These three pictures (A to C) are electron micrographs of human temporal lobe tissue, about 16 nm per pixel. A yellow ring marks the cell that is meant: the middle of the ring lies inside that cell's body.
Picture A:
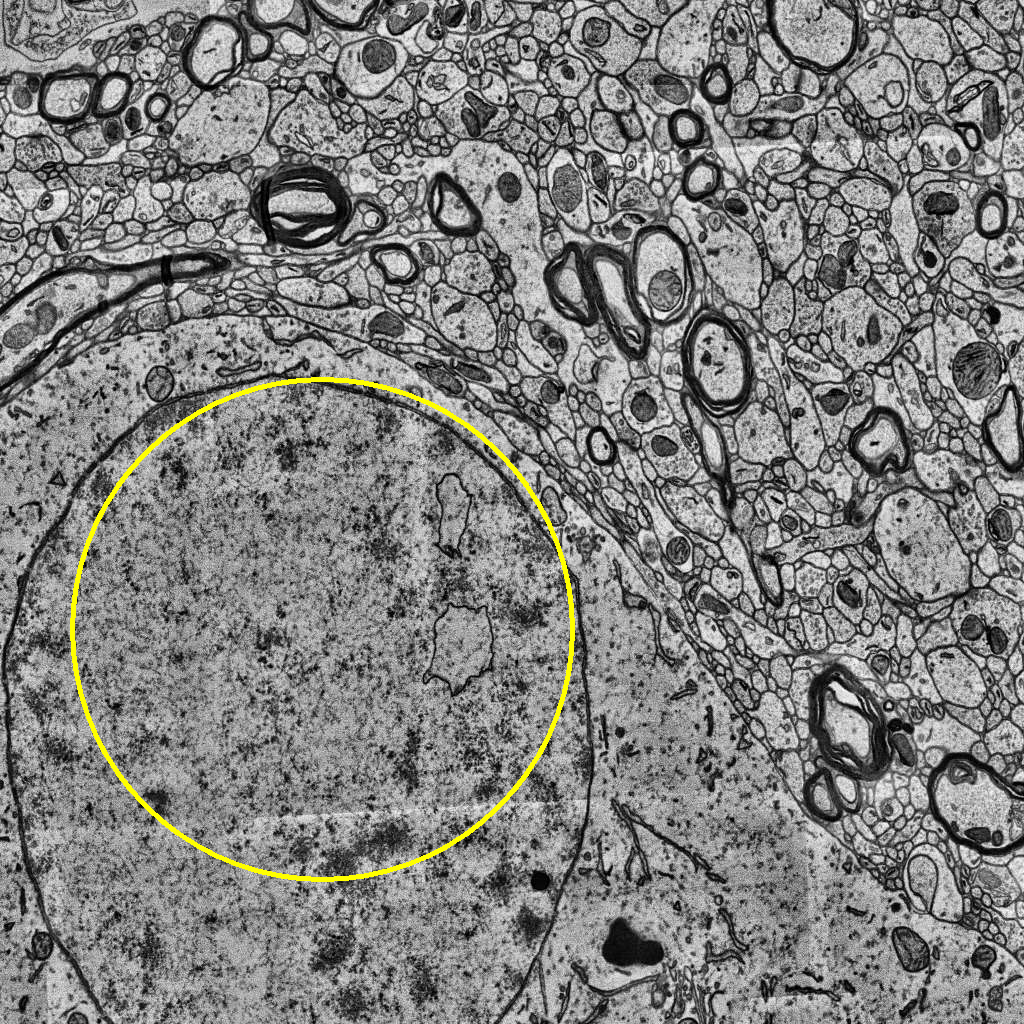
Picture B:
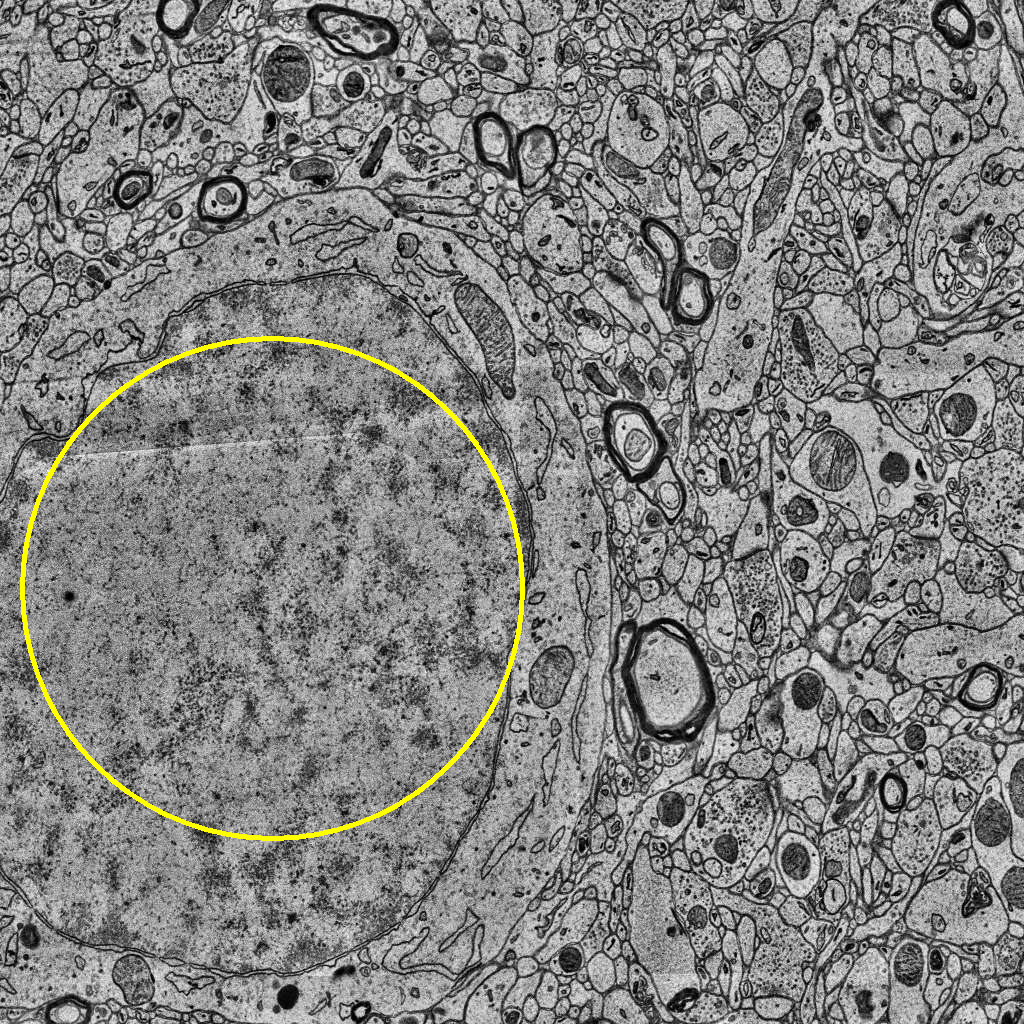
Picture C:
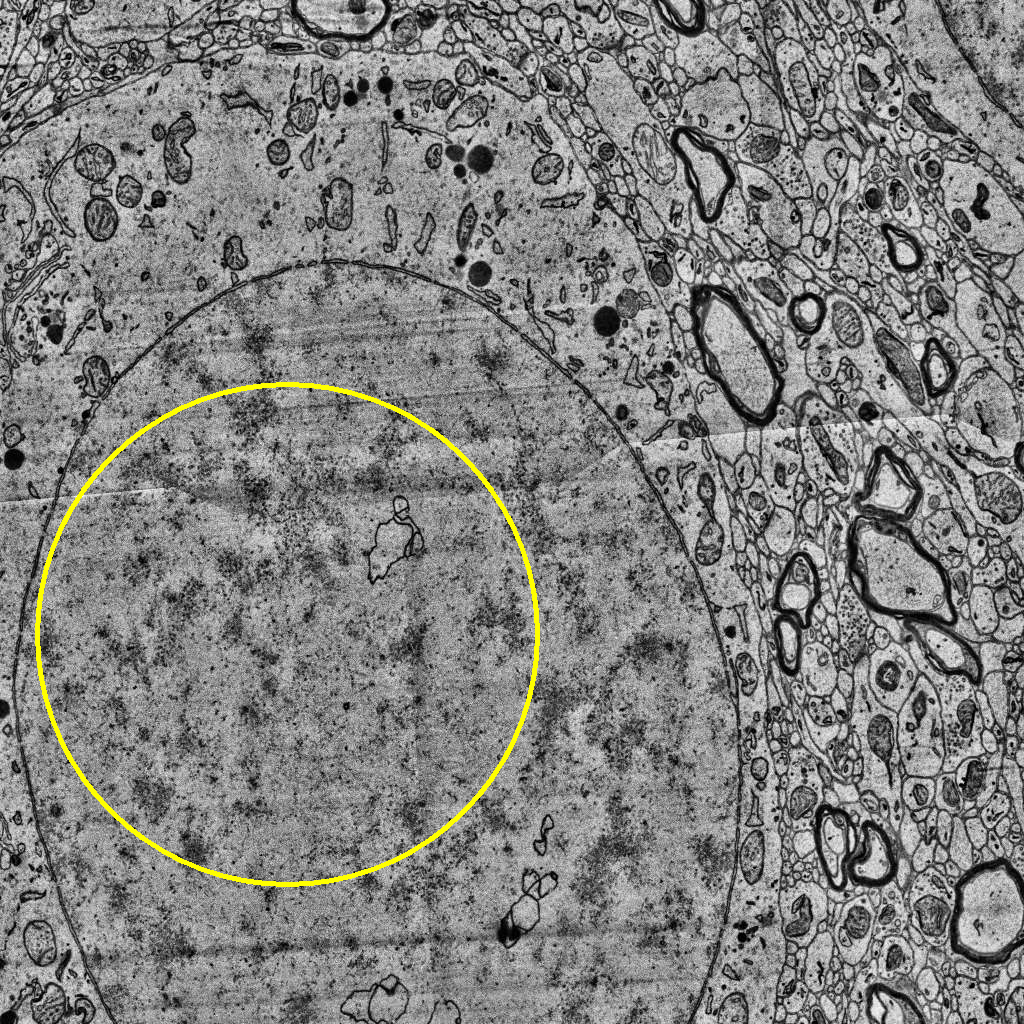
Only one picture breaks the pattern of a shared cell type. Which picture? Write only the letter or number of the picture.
B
